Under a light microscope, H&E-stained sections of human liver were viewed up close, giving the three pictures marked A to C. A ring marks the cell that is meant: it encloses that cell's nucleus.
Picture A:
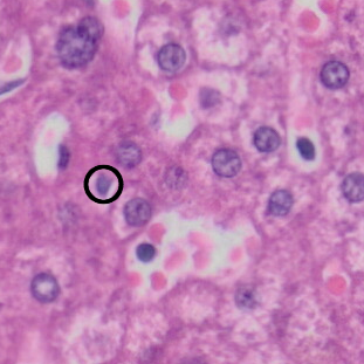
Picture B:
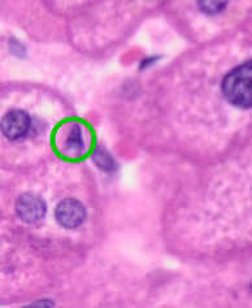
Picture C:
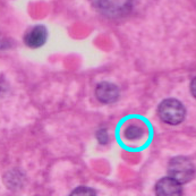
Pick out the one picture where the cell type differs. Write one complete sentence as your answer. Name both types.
The different one is picture B; it shows a “fibroblast or stellate cell”, whereas all the others show lymphocytes.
